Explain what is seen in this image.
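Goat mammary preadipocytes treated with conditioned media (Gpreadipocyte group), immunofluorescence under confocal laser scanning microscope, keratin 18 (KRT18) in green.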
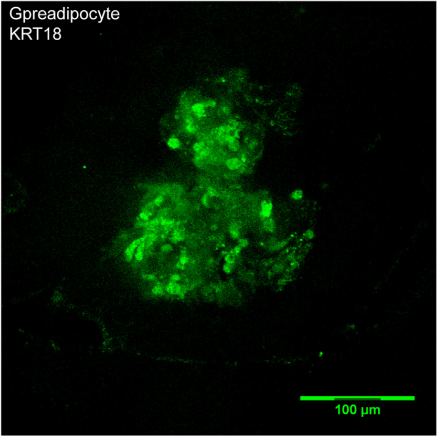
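A single compact, roughly lobed cluster of cultured cells lies on a dark background, filled with green cytoplasmic fluorescence. The fluorescence is patchy and granular, with many bright irregular spots packed among dimmer areas, and no single cell outline is clearly separated. A faint, thin green rim trails away from the cluster into the surrounding dark field.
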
